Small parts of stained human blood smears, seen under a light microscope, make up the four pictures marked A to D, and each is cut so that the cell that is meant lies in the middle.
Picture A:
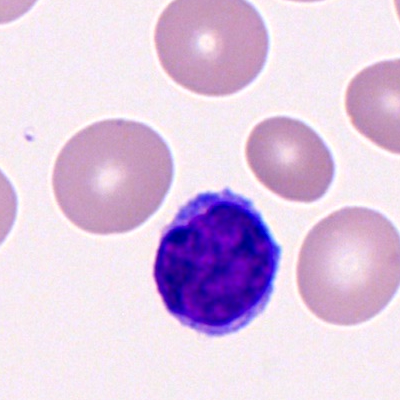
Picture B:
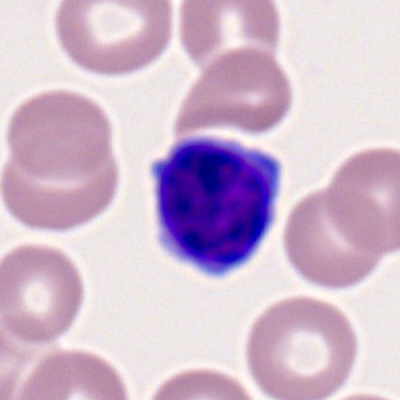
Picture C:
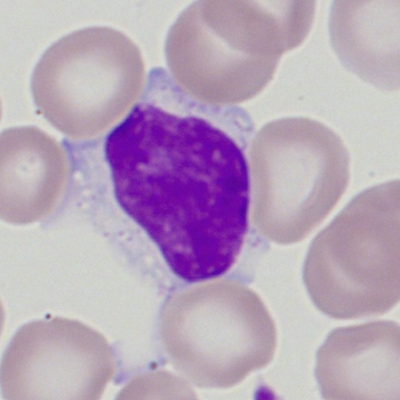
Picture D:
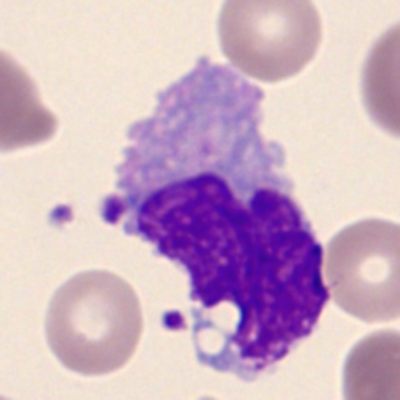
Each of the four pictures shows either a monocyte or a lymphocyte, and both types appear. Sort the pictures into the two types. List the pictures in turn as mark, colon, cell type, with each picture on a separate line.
A: lymphocyte
B: lymphocyte
C: lymphocyte
D: monocyte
